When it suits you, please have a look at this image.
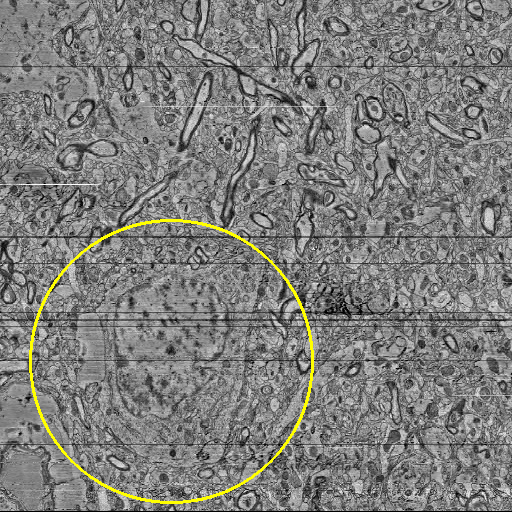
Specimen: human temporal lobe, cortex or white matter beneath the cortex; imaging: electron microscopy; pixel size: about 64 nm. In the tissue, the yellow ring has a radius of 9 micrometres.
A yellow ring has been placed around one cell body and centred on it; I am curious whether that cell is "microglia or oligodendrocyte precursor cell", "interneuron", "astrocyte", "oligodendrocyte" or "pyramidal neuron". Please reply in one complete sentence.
The ringed cell, an interneuron, has its body at the centre of the yellow ring.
